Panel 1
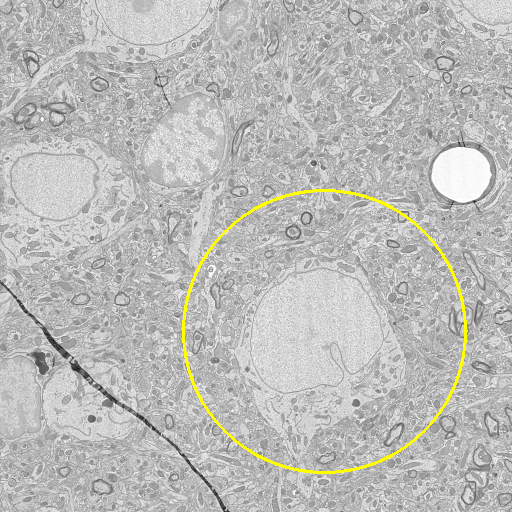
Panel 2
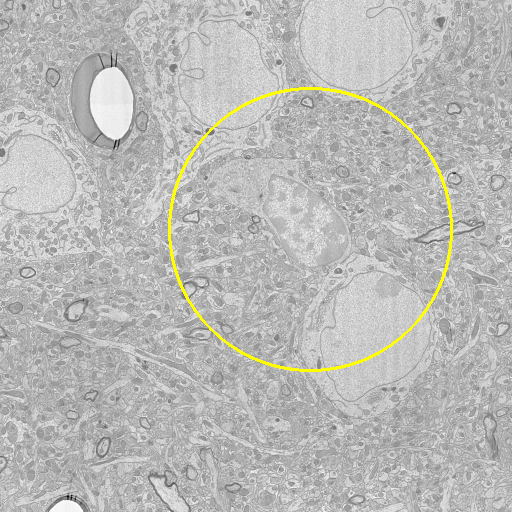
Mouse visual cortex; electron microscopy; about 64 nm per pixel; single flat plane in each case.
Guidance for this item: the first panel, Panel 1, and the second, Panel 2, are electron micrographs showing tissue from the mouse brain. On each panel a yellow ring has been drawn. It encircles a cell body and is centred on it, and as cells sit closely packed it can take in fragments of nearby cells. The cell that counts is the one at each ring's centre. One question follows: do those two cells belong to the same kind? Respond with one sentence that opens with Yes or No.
No, the cells at the ring centres in Panel 1 and Panel 2 are of two kinds.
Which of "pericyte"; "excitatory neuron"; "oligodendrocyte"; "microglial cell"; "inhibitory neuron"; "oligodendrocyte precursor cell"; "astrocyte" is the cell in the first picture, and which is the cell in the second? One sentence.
The two differ: the first cell is an excitatory neuron and the second is an oligodendrocyte.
